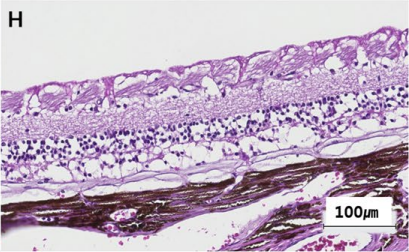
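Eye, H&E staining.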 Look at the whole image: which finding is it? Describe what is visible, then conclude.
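Outer retinal degeneration. The outer part of the retina next to the brown pigmented layer is loose and vacuolated. Nuclei in the outer part are sparse and scattered rather than forming a dense band.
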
